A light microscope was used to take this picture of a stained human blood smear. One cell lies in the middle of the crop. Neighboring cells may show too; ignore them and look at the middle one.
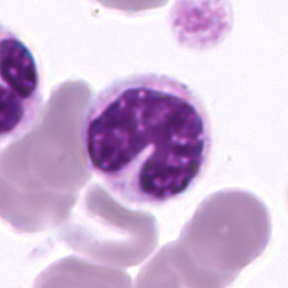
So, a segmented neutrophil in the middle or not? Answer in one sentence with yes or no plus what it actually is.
No, the central cell is not a segmented neutrophil; it is a band neutrophil.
